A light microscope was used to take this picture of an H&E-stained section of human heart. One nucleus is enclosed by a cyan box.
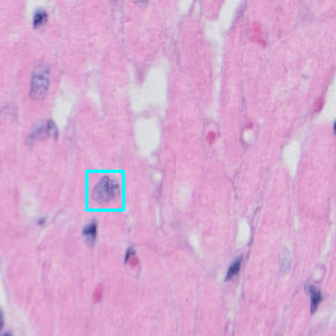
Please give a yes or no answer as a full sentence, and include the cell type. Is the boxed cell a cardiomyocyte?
Yes, where cell type is concerned, the boxed cell is a cardiomyocyte.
